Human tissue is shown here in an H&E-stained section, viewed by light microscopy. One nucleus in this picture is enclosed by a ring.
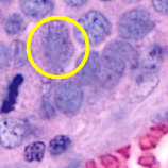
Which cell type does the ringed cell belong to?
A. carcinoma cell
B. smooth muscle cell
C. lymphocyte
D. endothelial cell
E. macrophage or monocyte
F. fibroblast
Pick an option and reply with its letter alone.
A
